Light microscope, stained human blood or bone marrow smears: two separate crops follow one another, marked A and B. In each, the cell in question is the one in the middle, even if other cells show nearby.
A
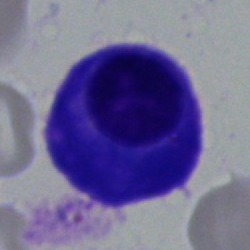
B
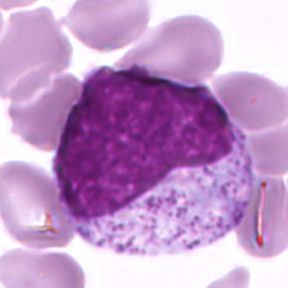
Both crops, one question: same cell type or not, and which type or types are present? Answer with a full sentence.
No, crop A is the one with a plasma cell; crop B has a myelocyte.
